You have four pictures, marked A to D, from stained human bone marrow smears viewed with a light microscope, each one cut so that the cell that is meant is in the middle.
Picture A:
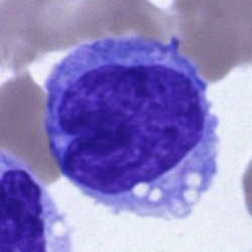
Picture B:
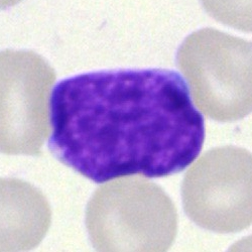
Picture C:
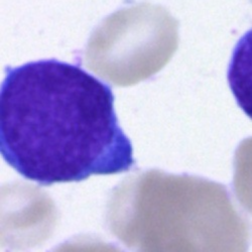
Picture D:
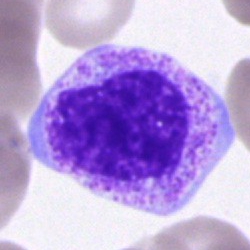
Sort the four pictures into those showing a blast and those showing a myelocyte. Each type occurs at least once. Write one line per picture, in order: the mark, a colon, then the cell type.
A: blast
B: blast
C: blast
D: myelocyte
